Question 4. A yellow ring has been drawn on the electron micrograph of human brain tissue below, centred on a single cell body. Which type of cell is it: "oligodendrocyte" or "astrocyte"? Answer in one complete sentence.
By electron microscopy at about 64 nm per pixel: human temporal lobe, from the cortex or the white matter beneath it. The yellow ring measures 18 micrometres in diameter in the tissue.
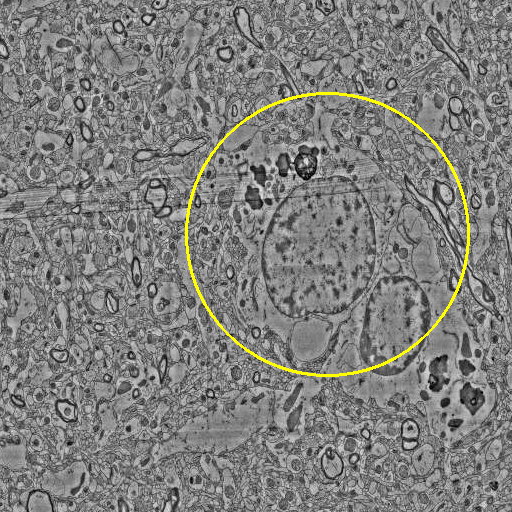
This cell body belongs to an astrocyte.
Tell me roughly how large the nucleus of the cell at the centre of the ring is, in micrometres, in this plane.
In this plane, about 9 micrometres in length and 7 in width.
